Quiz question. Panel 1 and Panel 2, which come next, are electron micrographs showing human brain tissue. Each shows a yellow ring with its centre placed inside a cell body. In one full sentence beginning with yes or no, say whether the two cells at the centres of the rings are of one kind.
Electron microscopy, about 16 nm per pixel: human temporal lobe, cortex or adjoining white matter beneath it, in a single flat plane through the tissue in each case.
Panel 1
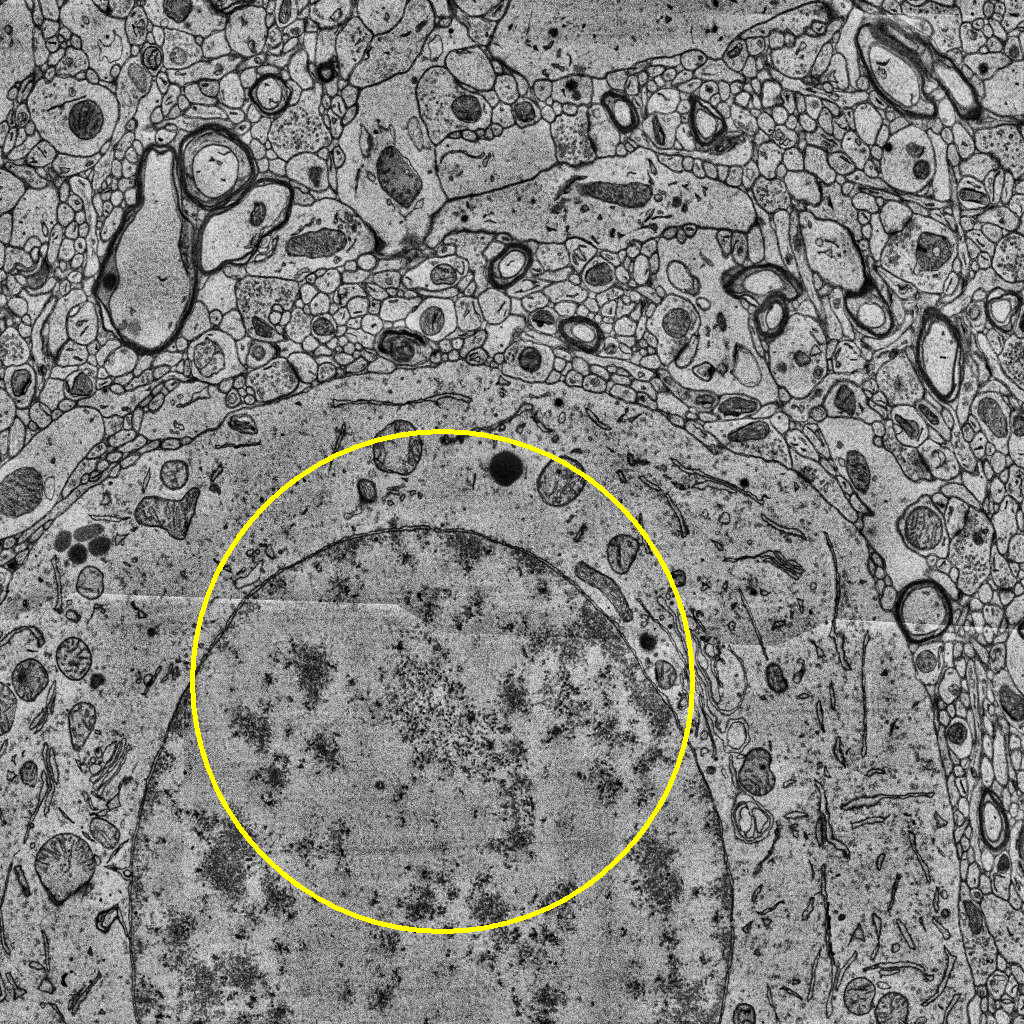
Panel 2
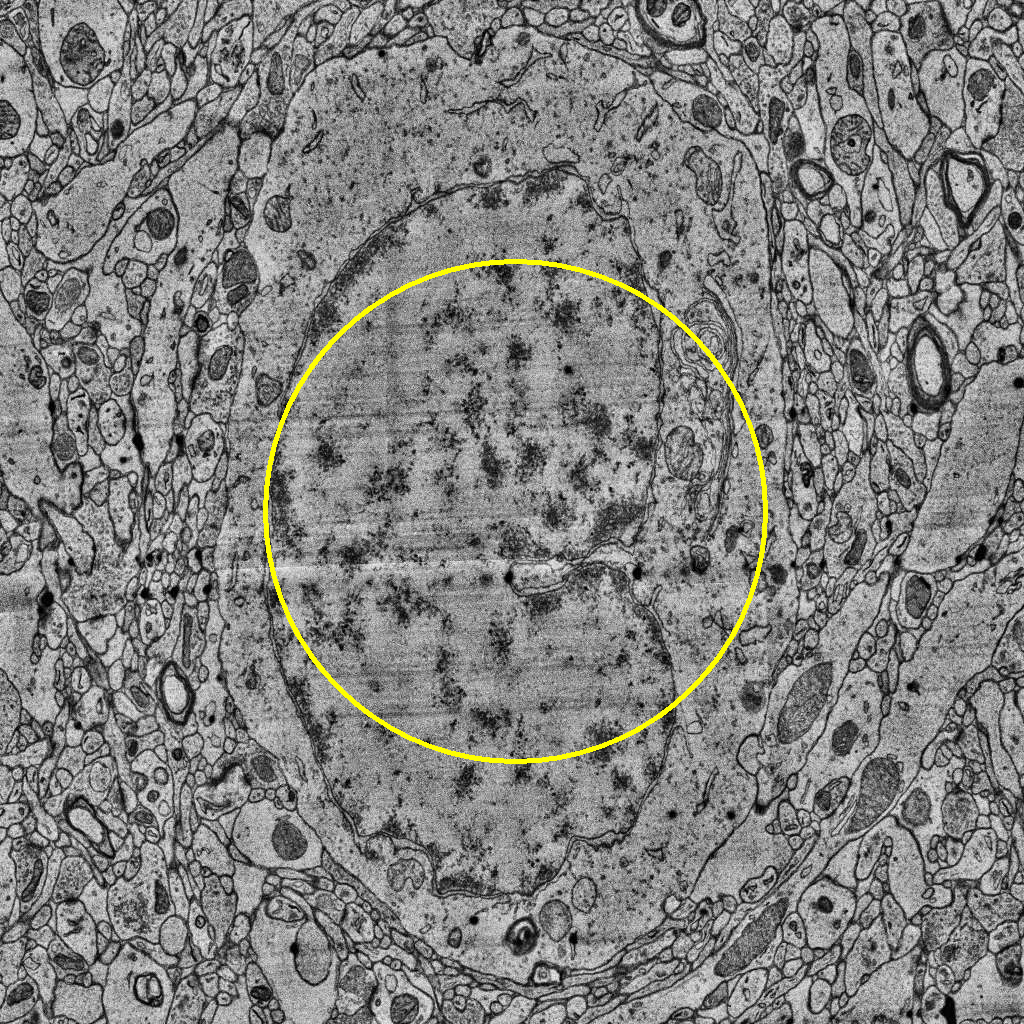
Yes, Panel 1 and Panel 2 show one kind of cell at the centre of the ring.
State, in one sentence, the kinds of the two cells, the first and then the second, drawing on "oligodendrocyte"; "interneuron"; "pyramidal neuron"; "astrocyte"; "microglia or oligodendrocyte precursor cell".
Each of the two pictures has an interneuron at the ring centre.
